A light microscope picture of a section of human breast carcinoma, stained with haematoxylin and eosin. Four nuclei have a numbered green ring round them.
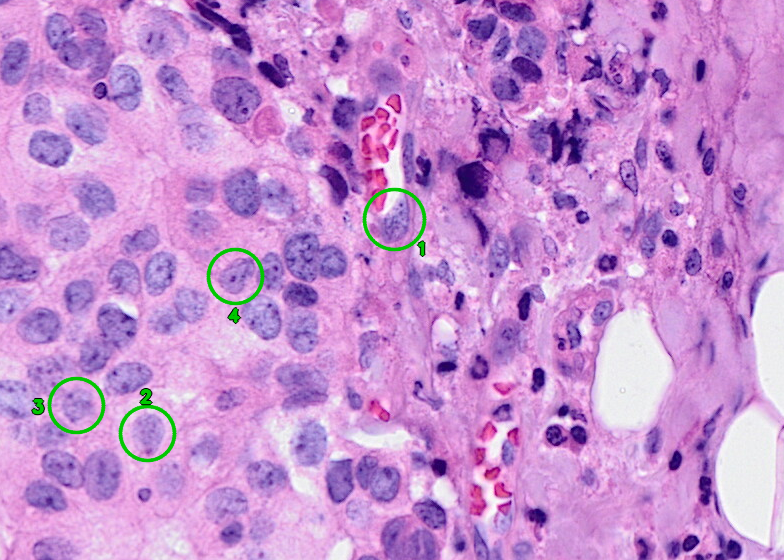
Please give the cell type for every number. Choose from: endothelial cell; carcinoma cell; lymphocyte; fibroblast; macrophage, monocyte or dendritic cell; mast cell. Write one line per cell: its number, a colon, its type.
1: endothelial cell
2: carcinoma cell
3: carcinoma cell
4: carcinoma cell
